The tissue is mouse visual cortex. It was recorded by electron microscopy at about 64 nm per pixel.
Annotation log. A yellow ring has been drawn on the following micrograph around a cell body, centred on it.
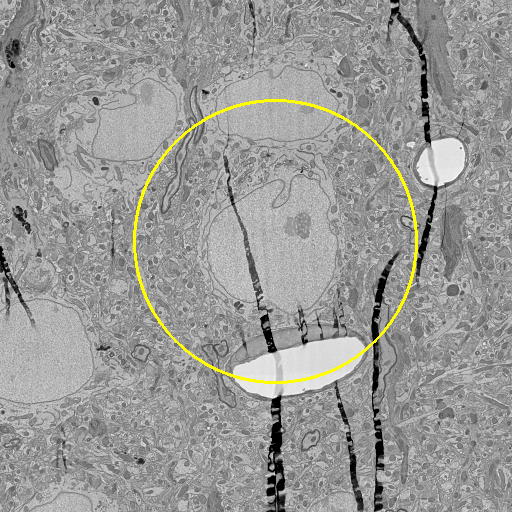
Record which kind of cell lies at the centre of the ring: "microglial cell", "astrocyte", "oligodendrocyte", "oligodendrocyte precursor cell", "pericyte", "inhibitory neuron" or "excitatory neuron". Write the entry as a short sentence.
The cell the ring is centred on is an inhibitory neuron.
